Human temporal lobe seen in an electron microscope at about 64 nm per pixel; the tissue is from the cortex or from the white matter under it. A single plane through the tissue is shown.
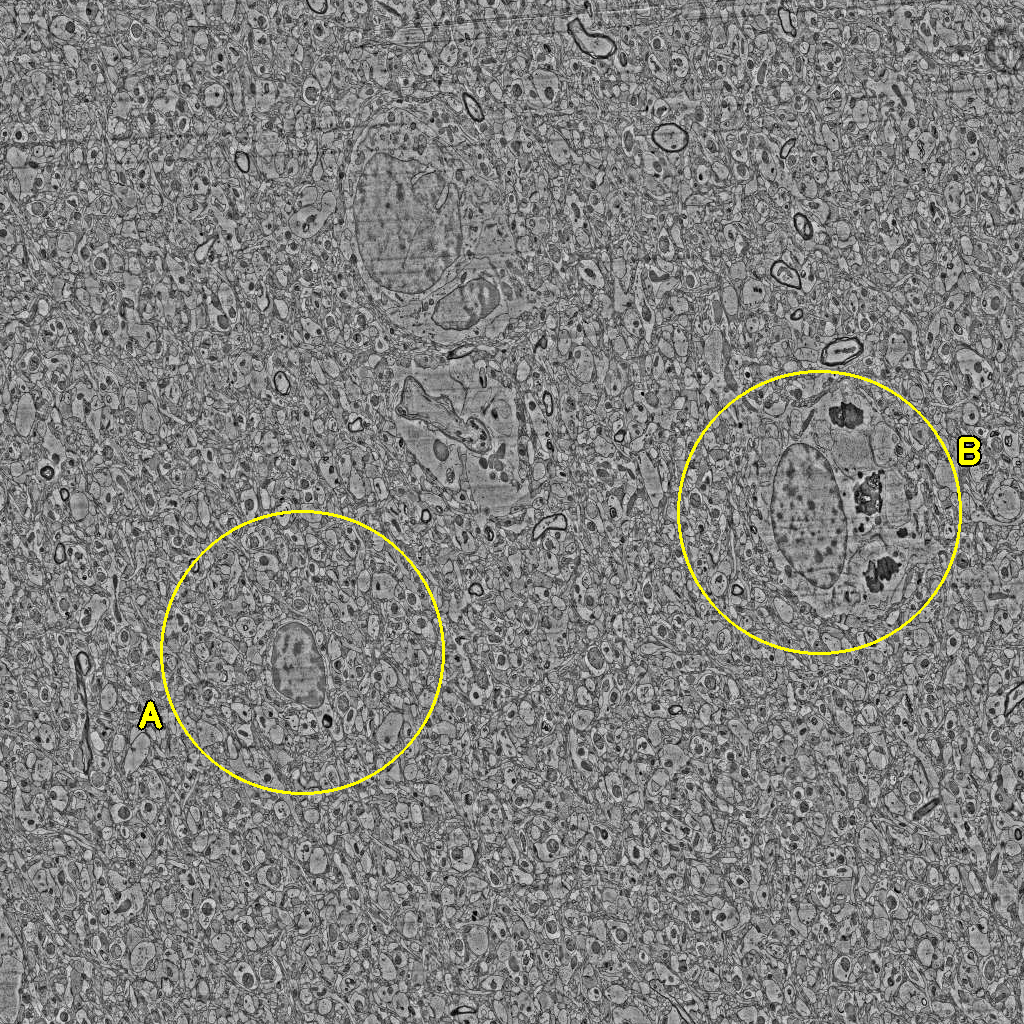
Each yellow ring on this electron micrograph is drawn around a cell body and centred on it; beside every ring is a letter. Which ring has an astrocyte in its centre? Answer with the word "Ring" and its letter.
Ring B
